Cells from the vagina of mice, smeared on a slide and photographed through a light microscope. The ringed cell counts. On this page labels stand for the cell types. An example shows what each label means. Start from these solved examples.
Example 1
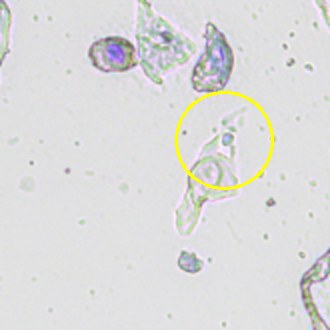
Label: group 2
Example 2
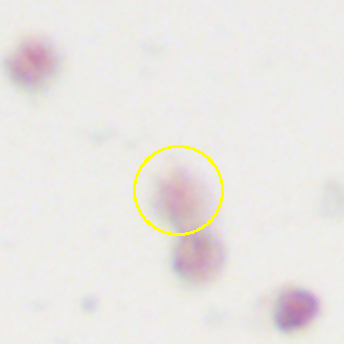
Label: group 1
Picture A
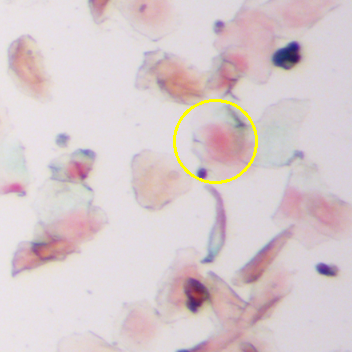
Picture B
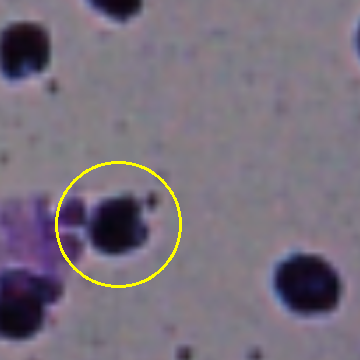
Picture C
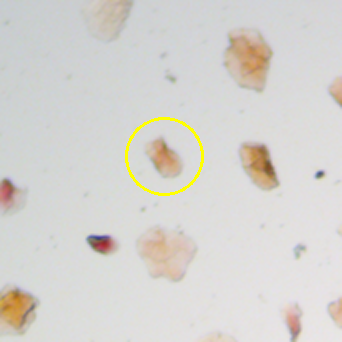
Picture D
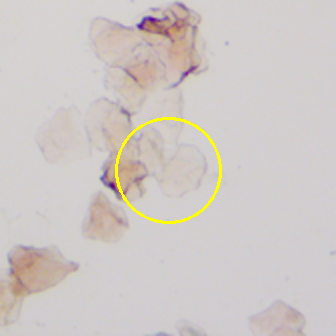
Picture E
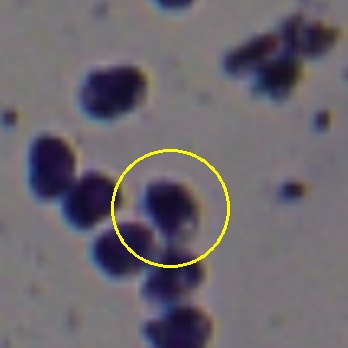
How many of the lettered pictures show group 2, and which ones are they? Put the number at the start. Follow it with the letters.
3: A, C, D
